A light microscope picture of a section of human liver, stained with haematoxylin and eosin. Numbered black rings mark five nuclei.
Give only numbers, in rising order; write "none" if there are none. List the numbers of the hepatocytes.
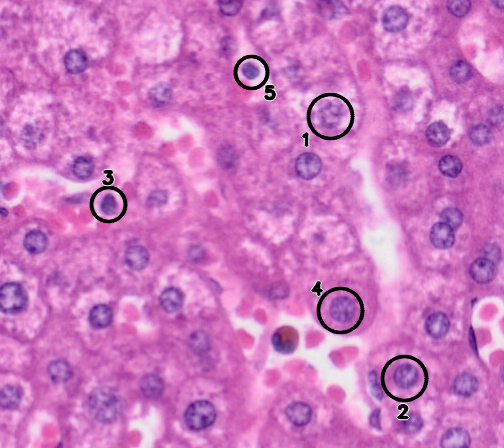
1, 2, 4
